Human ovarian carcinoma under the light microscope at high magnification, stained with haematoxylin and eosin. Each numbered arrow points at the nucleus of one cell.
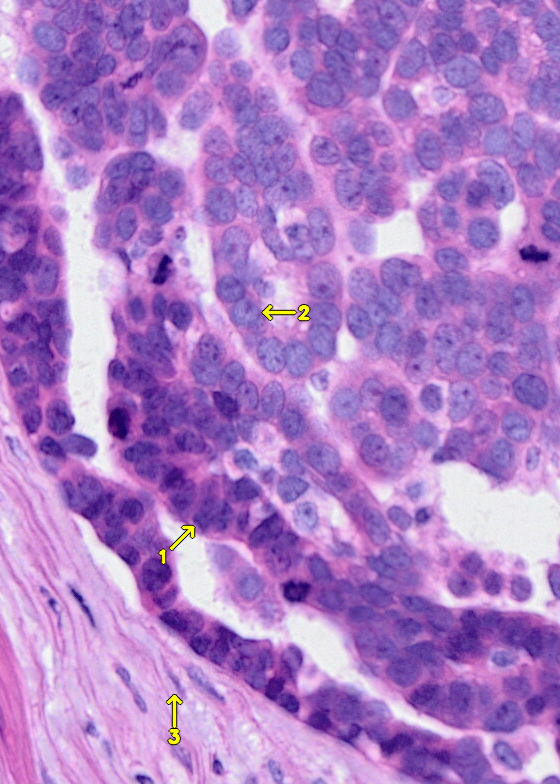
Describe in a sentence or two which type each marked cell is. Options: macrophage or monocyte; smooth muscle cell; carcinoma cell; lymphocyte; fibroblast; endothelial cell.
Cells 1 and 2 are carcinoma cells. Cell 3 is a fibroblast.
